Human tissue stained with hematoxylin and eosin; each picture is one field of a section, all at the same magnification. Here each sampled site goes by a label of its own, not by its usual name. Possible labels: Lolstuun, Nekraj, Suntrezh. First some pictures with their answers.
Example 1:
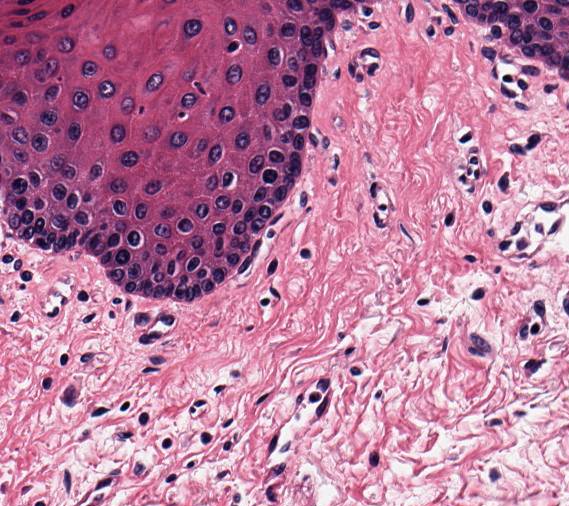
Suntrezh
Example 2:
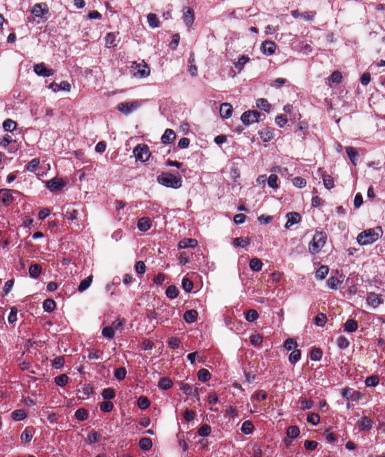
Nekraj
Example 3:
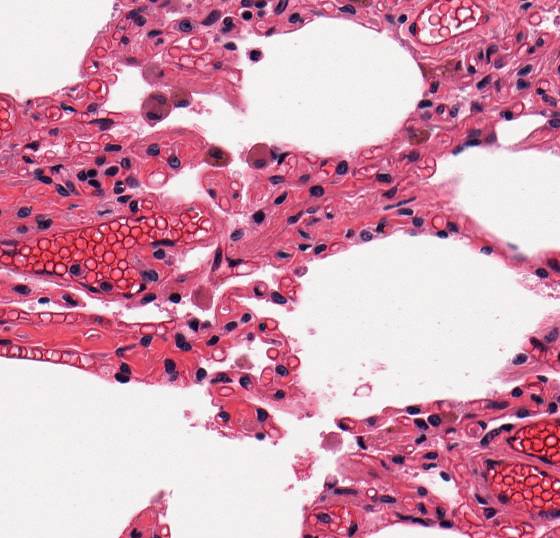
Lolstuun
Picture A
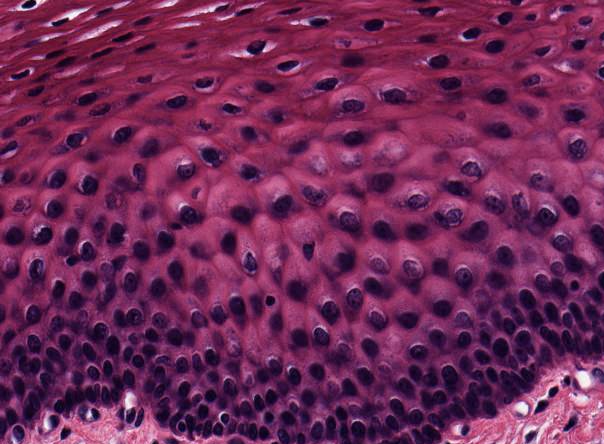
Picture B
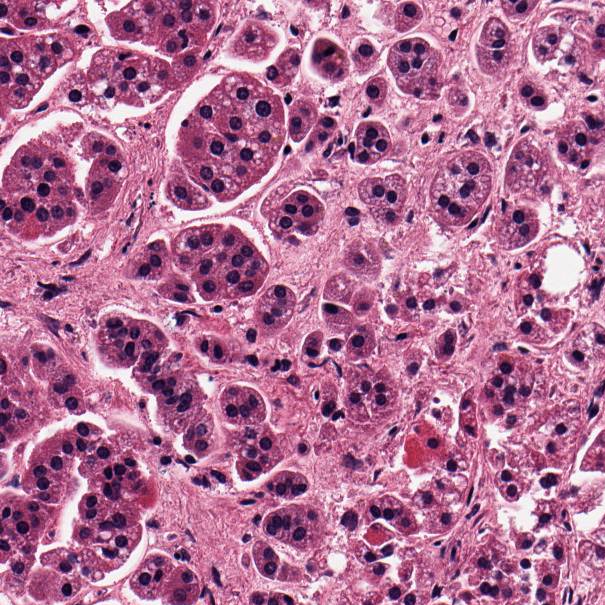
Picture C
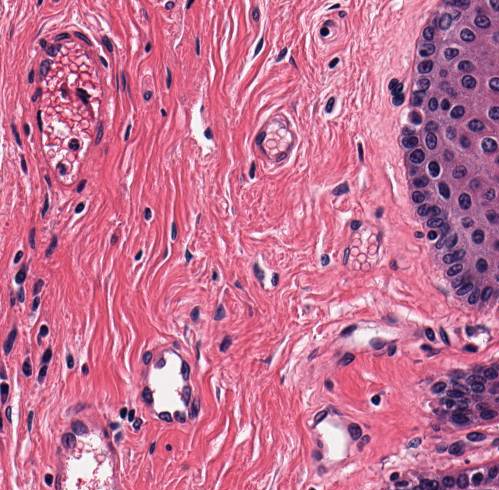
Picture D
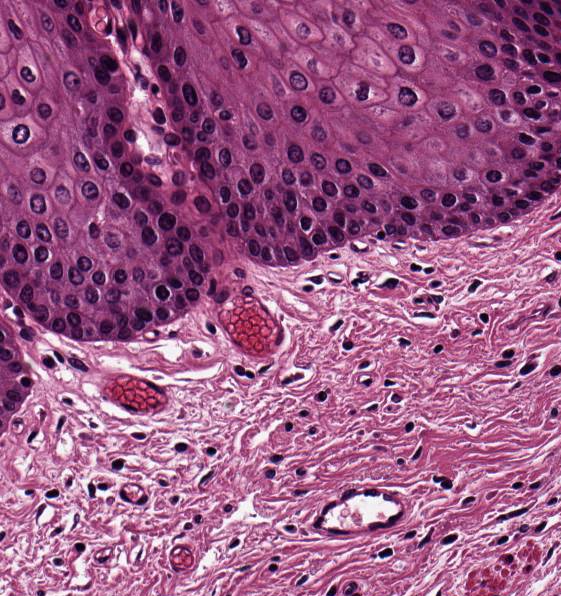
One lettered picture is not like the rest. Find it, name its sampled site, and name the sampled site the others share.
Different: B, Nekraj. Others: Suntrezh.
